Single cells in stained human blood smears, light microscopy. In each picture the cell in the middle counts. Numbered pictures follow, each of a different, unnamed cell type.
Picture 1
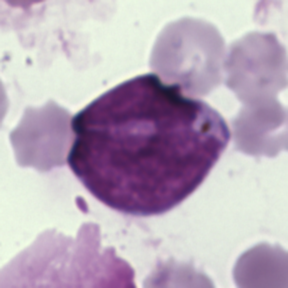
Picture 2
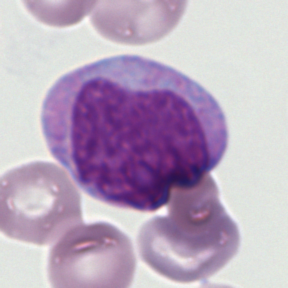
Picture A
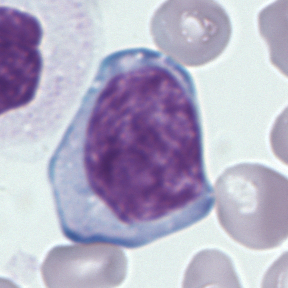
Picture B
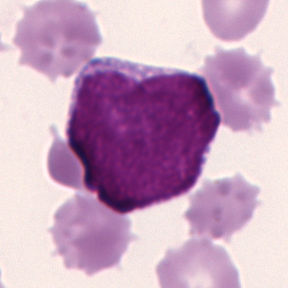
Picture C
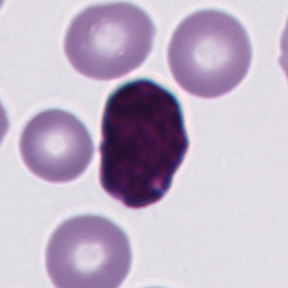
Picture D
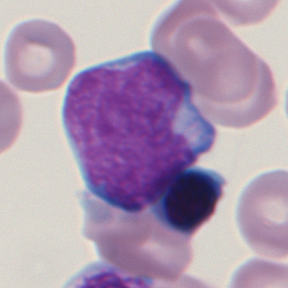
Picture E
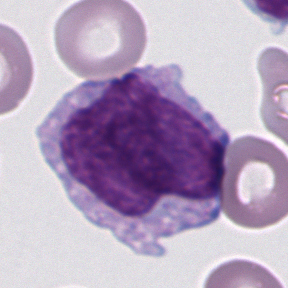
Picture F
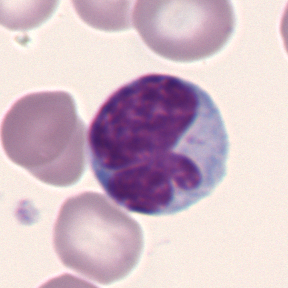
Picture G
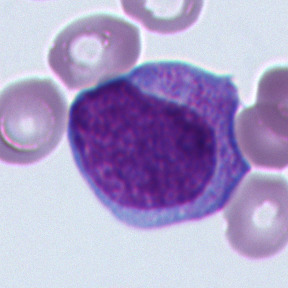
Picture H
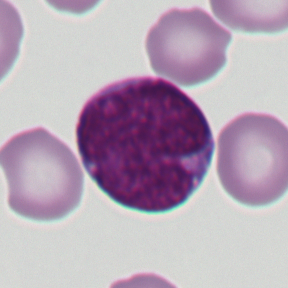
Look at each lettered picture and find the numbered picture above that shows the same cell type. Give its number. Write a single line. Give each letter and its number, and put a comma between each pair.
A 1, B 1, C 1, D 1, E 2, F 1, G 2, H 1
